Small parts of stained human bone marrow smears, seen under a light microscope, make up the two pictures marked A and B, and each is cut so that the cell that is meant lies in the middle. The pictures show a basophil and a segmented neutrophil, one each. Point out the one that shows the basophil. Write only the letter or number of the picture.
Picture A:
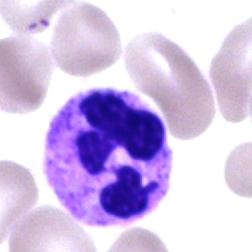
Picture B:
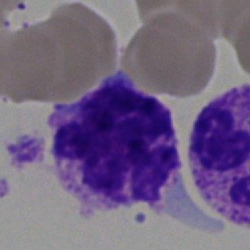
B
